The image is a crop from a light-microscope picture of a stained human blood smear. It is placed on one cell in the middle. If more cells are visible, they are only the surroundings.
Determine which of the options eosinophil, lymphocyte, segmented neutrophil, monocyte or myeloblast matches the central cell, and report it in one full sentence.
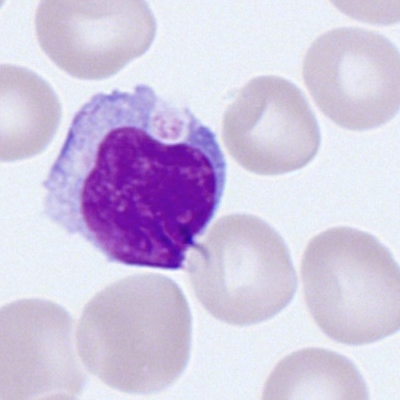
What the crop centres on is a lymphocyte.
